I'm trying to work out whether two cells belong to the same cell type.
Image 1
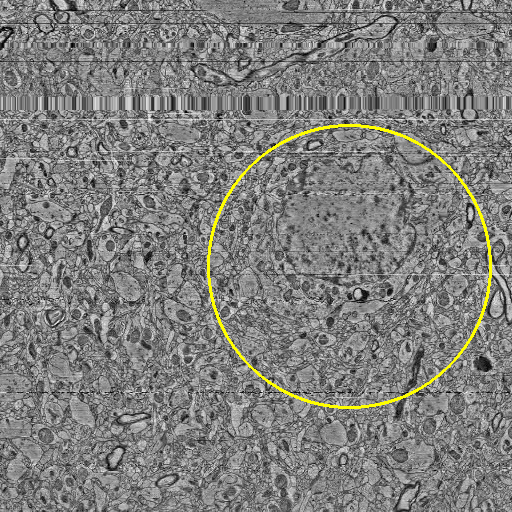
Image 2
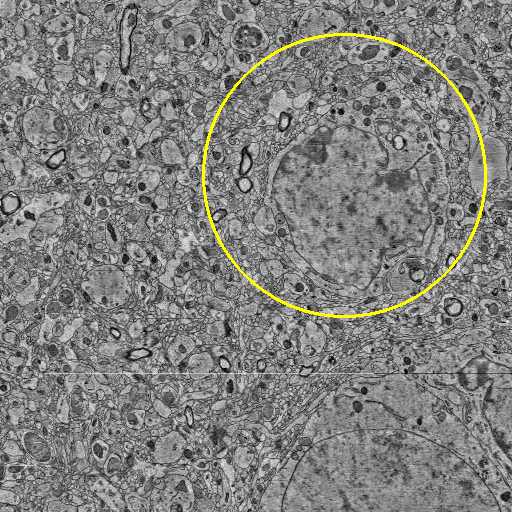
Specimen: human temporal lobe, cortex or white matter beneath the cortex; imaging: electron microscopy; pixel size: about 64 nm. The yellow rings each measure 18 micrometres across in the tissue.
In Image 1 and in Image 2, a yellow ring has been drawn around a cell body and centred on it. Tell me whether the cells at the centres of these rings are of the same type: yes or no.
yes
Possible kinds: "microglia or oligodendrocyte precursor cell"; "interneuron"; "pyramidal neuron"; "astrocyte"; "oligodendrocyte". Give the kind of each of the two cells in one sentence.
Each cell at the centre of a ring is an interneuron.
